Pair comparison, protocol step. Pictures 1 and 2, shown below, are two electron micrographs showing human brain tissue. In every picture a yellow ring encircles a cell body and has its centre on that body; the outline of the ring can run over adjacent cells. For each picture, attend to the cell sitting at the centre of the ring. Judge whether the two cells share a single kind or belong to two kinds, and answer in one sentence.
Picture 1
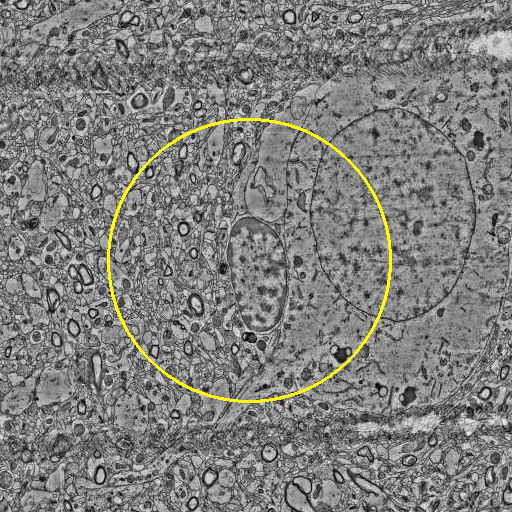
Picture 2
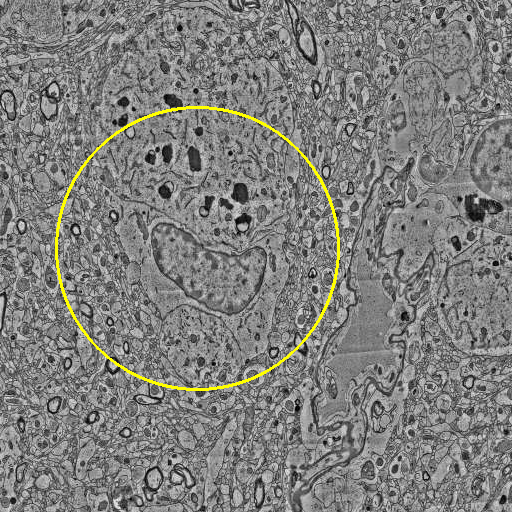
The two cells at the ring centres in Picture 1 and Picture 2 share a single kind.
